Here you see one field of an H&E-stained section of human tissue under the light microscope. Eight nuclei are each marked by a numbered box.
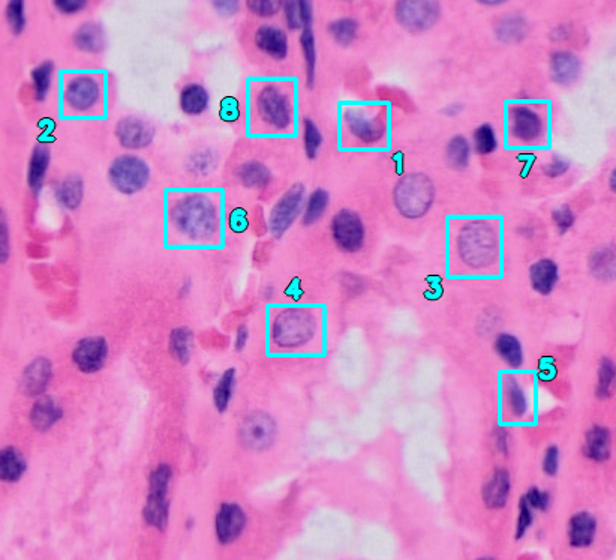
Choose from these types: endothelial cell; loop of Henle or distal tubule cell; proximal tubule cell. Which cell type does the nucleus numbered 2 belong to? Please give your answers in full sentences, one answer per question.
The one labeled 2 is a loop of Henle or distal tubule cell, to put it simply.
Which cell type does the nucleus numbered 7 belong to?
The cell pointed out by number 7 is a loop of Henle or distal tubule cell.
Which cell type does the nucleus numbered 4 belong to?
Corresponding to a proximal tubule cell is the cell labelled 4.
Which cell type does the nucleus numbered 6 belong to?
The one numbered 6 among the marked cells is a loop of Henle or distal tubule cell.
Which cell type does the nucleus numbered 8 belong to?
The cell that carries the label 8 is a loop of Henle or distal tubule cell.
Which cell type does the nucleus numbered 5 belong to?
The one numbered 5 among the marked cells is an endothelial cell.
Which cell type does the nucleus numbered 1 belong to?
The numbered cell 1 is identified here as an endothelial cell.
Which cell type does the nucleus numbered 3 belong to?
The correct label for cell 3 is a proximal tubule cell.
